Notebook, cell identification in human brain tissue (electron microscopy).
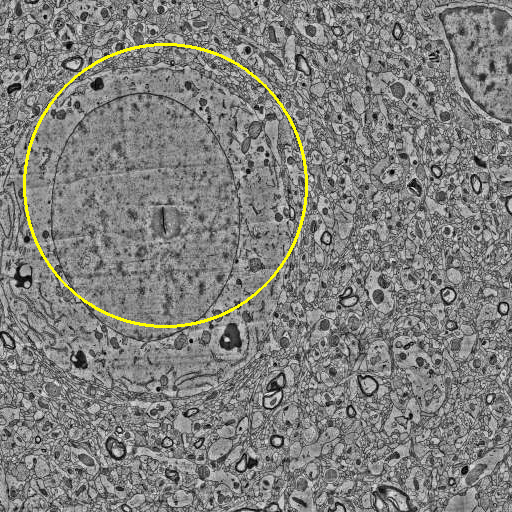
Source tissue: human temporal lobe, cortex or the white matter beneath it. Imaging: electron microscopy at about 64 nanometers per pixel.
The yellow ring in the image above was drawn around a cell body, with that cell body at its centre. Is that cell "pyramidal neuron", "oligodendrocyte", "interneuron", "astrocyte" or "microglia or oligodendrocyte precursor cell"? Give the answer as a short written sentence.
The cell in the ring is a pyramidal neuron.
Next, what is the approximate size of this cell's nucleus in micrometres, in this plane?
The ringed cell's nucleus is about 16 micrometres long and 12 micrometres wide in this plane.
